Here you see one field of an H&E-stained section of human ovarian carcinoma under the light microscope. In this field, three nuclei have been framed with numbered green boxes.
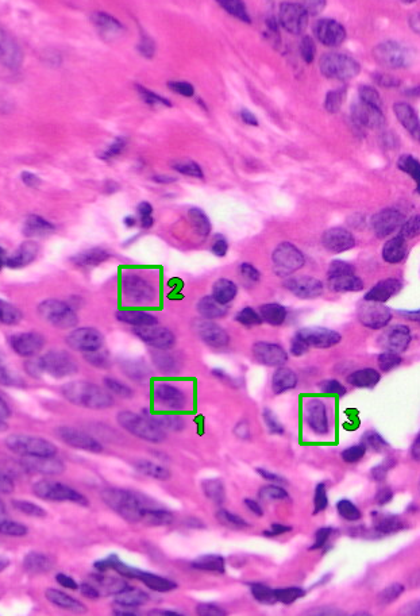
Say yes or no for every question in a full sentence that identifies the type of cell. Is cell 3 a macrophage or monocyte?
Yes, the cell identified as number 3 is a macrophage or monocyte.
